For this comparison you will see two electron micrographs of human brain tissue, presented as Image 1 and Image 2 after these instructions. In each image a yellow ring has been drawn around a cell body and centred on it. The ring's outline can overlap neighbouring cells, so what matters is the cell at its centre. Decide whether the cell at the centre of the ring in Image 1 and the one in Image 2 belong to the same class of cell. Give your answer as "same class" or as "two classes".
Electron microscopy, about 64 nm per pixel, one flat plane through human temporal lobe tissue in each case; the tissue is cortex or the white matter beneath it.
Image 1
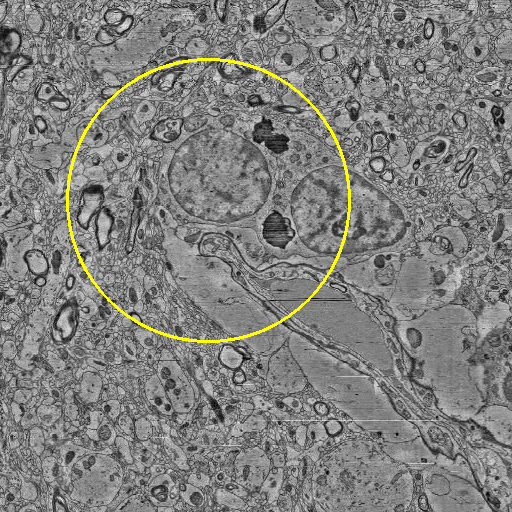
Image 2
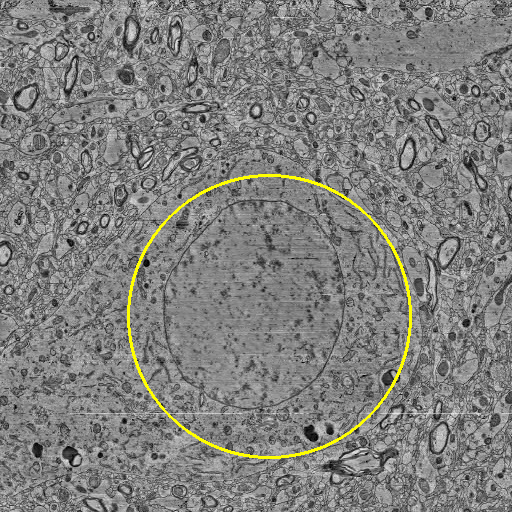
two classes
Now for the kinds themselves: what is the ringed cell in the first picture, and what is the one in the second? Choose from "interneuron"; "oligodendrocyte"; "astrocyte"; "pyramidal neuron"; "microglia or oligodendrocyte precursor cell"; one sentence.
Here the first cell is an oligodendrocyte and the second cell is a pyramidal neuron.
